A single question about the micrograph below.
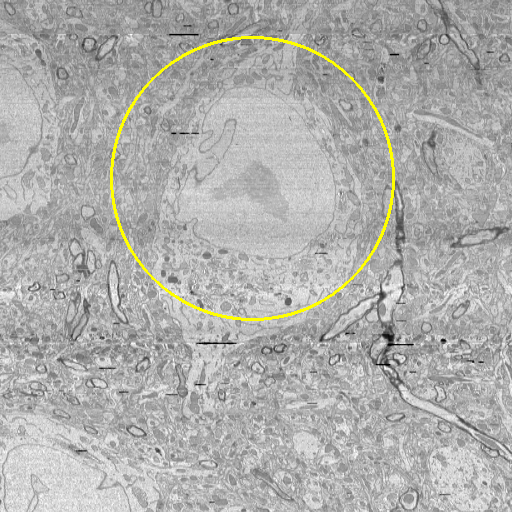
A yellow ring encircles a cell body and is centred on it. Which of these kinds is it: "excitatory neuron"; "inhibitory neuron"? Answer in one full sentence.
The cell body at the centre of the yellow ring belongs to an excitatory neuron.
